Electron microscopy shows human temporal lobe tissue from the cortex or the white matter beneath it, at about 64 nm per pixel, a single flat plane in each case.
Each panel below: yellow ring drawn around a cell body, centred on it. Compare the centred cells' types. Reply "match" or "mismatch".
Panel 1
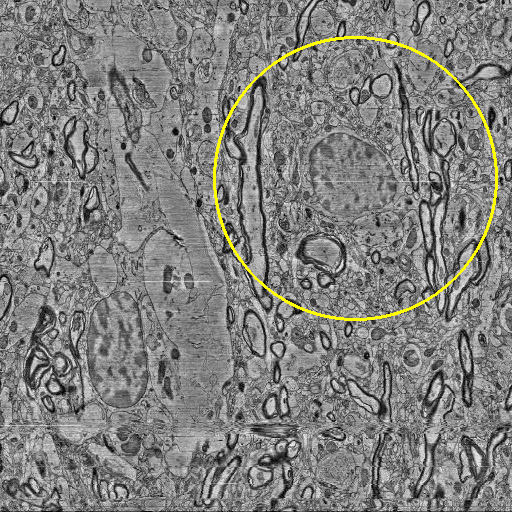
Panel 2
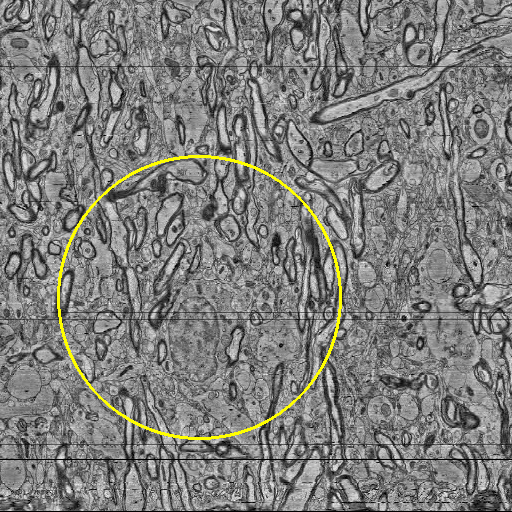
match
